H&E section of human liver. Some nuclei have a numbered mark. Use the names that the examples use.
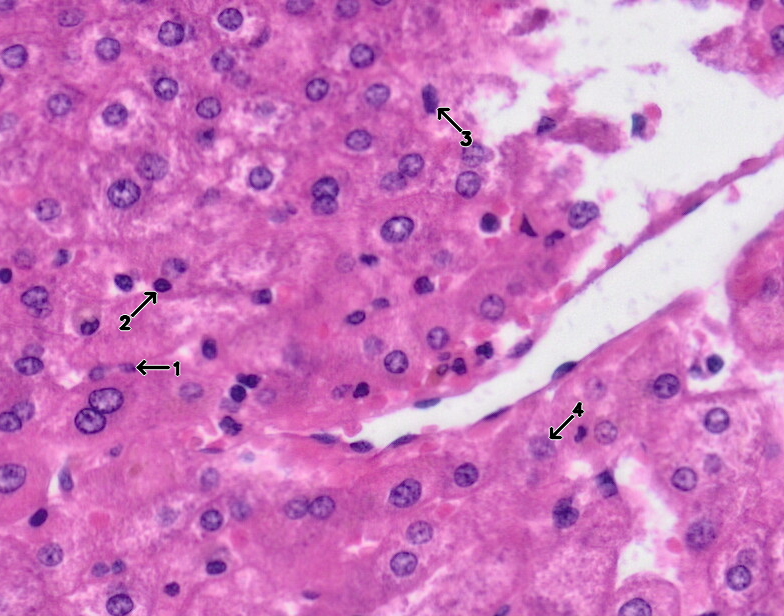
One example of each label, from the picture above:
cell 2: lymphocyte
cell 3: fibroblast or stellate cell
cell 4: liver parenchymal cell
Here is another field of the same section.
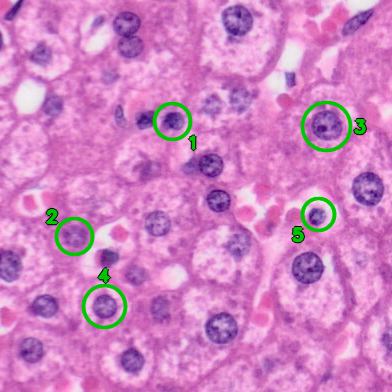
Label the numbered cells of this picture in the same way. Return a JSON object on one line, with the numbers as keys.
{"1": "fibroblast or stellate cell", "2": "liver parenchymal cell", "3": "liver parenchymal cell", "4": "liver parenchymal cell", "5": "lymphocyte"}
